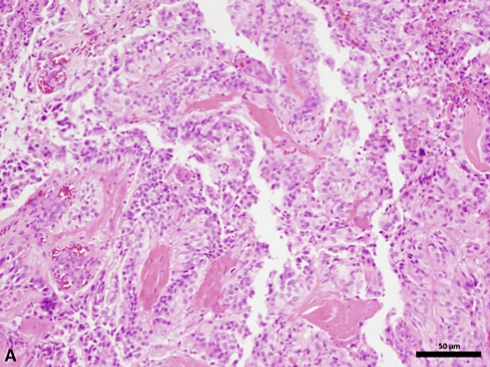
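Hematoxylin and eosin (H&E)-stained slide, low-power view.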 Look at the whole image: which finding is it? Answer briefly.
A: Atypical papillary proliferation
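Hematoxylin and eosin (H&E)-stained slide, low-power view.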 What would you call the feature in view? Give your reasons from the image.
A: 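Thick fibrovascular cores. Thick, dense pink acellular bands run through the tissue. Rows and clusters of cells line these pink cores.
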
